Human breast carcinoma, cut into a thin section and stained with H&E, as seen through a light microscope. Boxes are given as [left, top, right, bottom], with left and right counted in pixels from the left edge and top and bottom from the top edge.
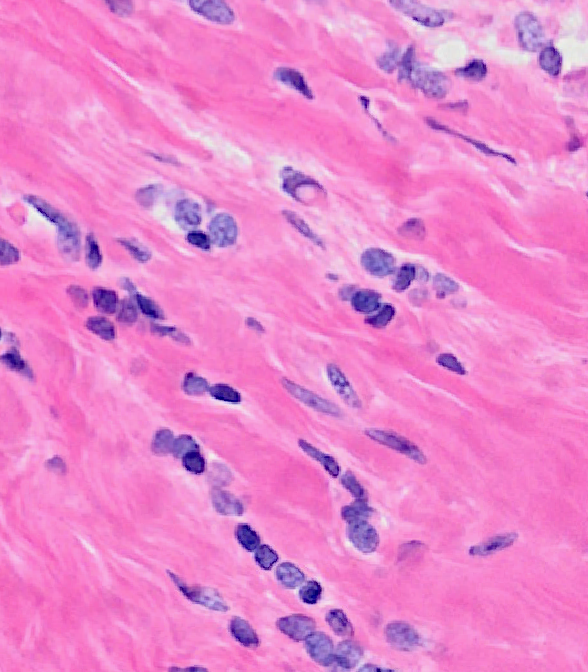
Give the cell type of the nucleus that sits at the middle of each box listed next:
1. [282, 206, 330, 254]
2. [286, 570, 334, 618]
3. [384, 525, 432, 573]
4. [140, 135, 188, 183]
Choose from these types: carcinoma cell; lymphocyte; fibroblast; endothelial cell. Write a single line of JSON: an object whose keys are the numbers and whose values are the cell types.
{"1": "fibroblast", "2": "lymphocyte", "3": "fibroblast", "4": "fibroblast"}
